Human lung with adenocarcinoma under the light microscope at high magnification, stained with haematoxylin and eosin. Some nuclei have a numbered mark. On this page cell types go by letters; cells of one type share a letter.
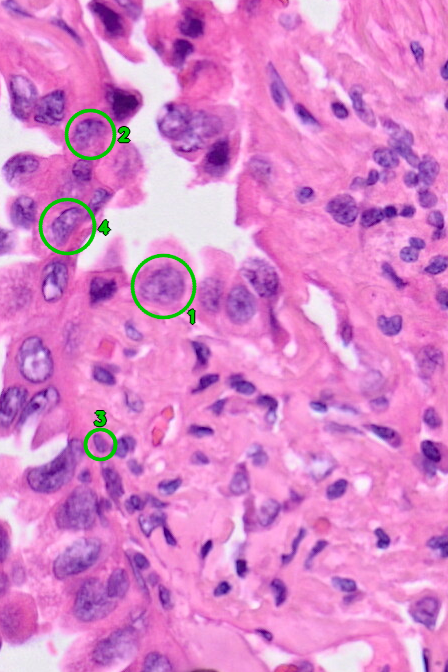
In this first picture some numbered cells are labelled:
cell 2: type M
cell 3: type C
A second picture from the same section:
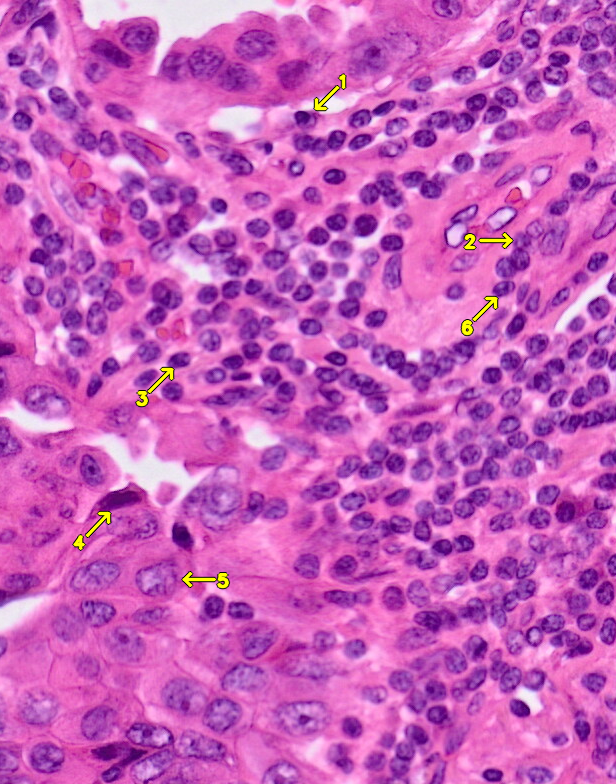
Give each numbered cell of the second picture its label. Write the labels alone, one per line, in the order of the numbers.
type C
type C
type C
type M
type M
type C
